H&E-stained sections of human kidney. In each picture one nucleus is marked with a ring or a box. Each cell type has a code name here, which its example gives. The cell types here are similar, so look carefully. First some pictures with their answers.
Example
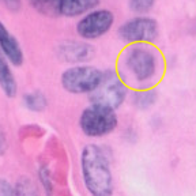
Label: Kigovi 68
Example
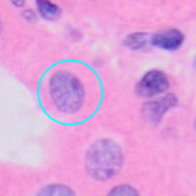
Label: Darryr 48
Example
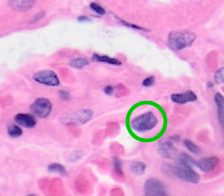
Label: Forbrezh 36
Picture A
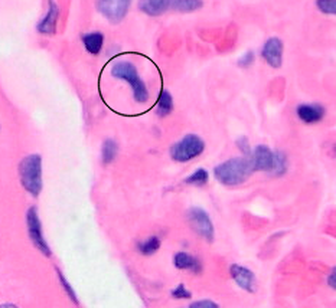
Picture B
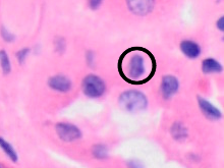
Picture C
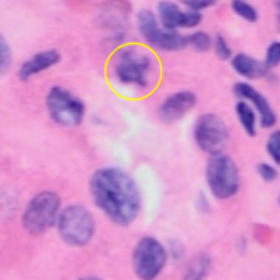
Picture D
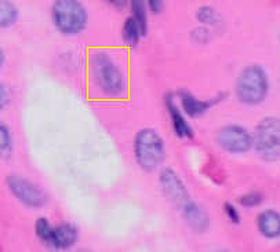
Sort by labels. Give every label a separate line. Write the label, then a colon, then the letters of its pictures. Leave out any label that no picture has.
Kigovi 68: D
Darryr 48: B, C
Forbrezh 36: A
